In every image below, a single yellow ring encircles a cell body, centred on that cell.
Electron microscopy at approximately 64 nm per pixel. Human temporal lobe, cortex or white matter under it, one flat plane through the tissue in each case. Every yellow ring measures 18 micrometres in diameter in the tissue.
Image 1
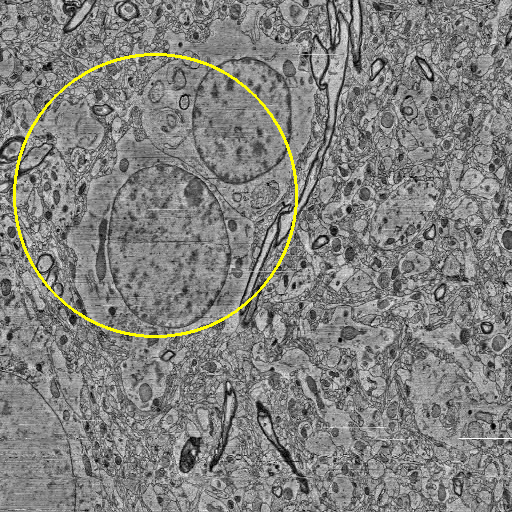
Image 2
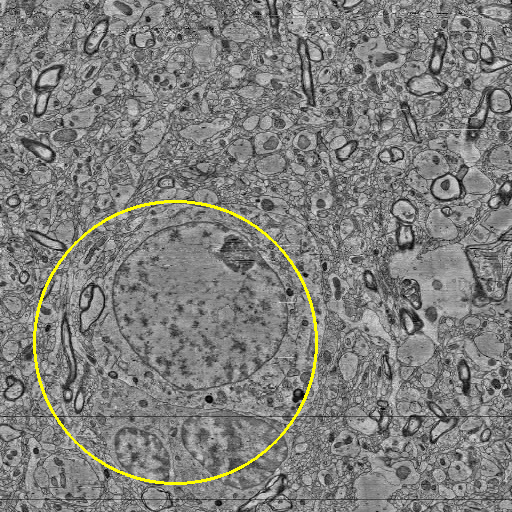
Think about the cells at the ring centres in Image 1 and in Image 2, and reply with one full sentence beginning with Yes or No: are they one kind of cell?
No, the cells centred in the rings of Image 1 and Image 2 are two kinds of cell.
